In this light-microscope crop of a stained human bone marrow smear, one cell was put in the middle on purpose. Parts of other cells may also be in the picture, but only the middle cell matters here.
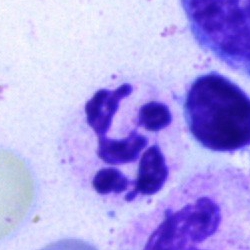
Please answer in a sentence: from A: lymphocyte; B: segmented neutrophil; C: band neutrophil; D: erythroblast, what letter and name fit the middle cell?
That the central cell is a segmented neutrophil makes option B correct.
